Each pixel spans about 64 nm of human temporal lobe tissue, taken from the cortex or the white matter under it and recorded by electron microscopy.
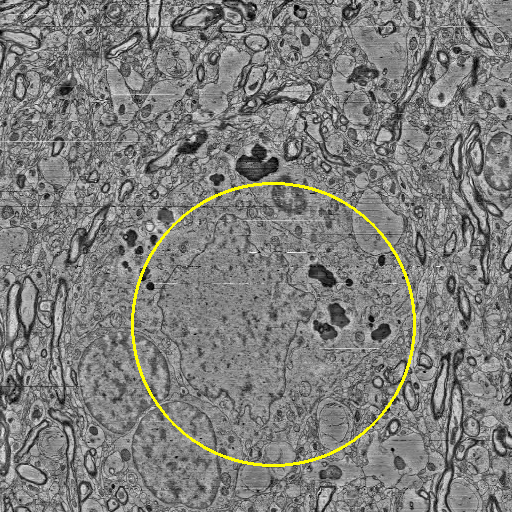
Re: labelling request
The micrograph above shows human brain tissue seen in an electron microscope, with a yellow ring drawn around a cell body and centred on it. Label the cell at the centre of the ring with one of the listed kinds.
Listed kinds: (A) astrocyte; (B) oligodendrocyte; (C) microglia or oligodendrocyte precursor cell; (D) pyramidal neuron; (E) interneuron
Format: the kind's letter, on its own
D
